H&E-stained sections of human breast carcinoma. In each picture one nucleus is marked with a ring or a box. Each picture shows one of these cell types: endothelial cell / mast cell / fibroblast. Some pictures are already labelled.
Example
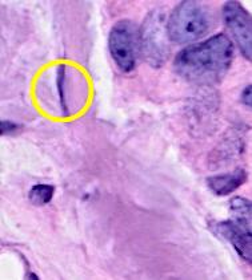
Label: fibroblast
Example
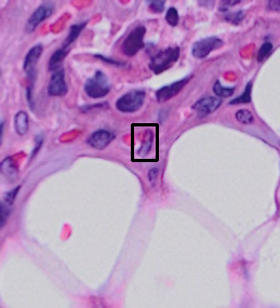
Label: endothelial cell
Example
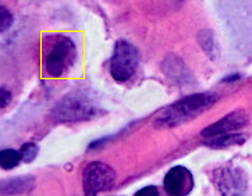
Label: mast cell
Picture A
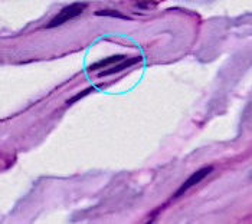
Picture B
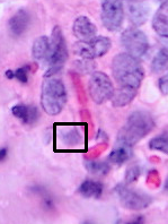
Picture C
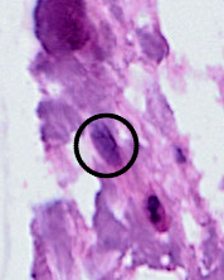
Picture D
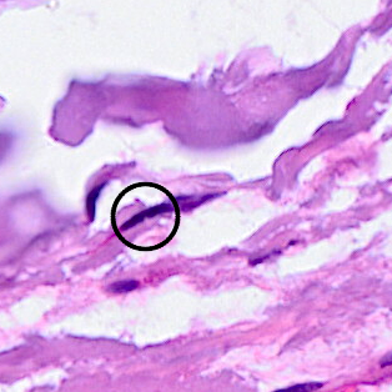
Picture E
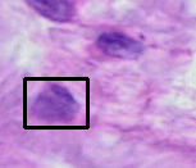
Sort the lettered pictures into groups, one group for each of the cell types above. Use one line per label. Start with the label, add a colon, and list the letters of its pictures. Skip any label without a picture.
endothelial cell: B
fibroblast: A, C, D, E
